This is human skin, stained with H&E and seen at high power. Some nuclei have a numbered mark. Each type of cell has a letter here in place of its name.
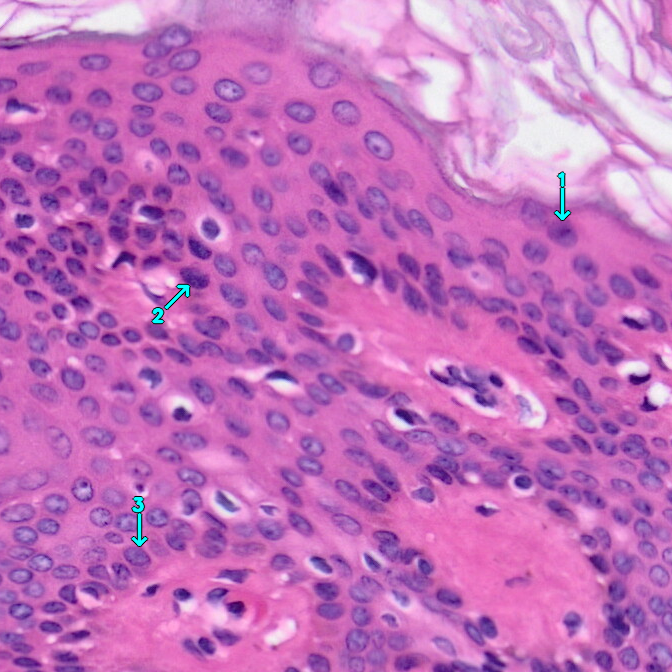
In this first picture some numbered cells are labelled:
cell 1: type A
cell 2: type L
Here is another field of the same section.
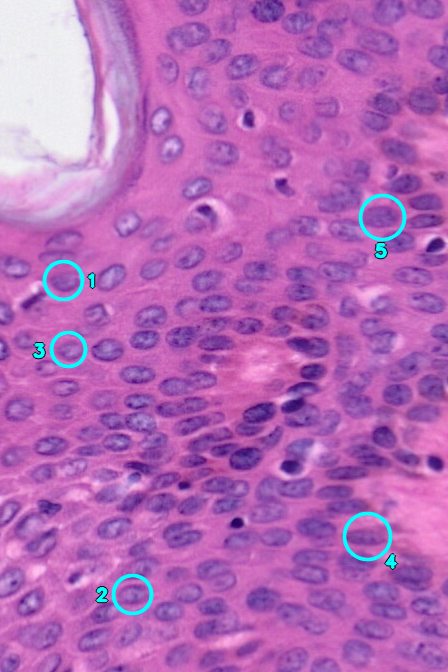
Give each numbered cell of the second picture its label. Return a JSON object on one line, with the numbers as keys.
{"1": "type A", "2": "type A", "3": "type A", "4": "type L", "5": "type L"}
